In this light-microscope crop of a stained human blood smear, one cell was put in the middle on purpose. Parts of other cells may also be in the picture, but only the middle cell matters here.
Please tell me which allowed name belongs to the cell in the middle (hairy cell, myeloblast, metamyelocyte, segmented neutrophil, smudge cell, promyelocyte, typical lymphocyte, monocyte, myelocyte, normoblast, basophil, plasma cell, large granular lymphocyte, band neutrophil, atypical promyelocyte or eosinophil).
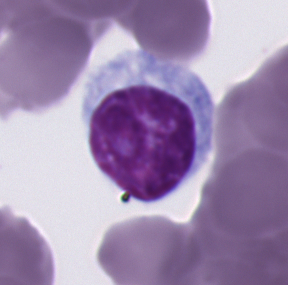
hairy cell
